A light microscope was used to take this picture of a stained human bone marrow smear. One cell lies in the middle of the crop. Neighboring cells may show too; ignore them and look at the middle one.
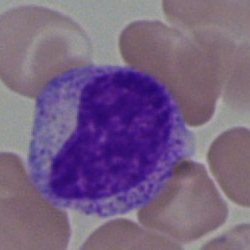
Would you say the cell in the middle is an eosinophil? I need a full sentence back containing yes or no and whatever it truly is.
No, this cell in the middle is a metamyelocyte, so it is not an eosinophil.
